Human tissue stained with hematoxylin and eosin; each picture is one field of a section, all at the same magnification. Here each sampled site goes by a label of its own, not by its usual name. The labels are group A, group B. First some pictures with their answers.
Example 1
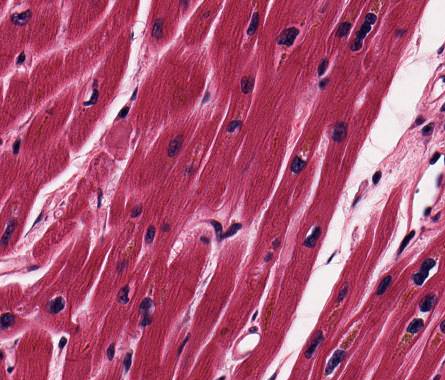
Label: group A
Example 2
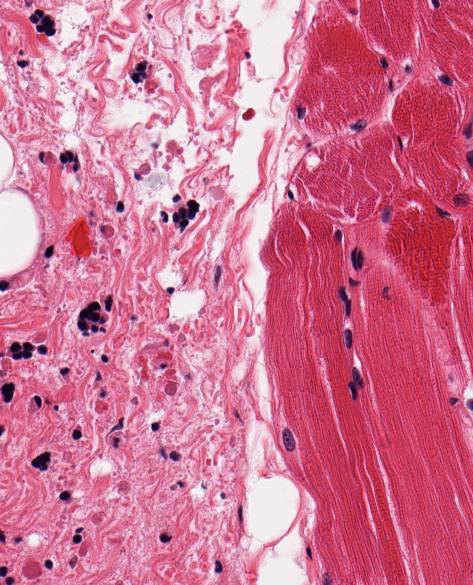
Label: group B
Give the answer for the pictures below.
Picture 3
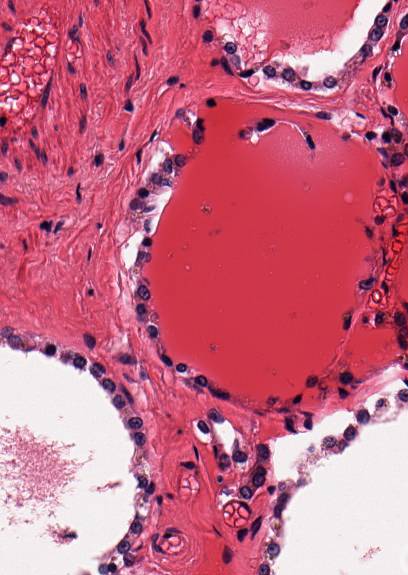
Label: group B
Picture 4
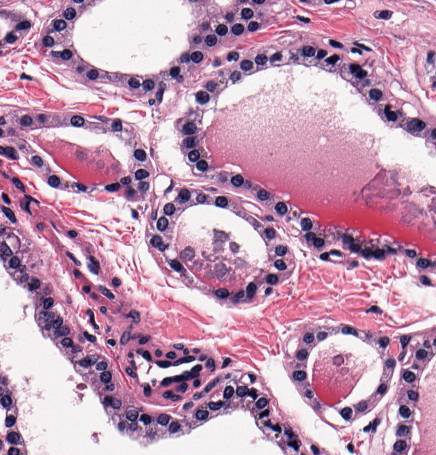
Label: group B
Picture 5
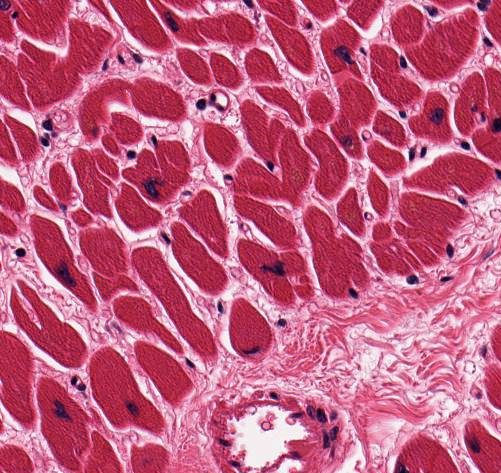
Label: group A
